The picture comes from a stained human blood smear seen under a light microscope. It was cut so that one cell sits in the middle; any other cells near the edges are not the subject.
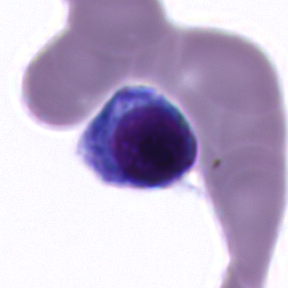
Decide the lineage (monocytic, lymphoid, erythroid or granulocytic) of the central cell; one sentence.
The cell occupying the center of the frame is part of the lymphoid lineage.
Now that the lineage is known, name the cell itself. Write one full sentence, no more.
The cell at the central position in this crop is a plasma cell.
